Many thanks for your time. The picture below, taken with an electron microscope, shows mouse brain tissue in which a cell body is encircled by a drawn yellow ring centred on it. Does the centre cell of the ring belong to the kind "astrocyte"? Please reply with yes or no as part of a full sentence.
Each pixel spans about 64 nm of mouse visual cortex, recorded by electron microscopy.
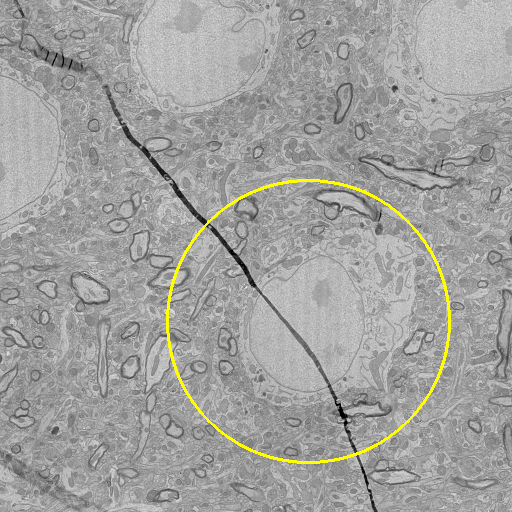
No, in the picture the cell at the ring's centre is of some different kind.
